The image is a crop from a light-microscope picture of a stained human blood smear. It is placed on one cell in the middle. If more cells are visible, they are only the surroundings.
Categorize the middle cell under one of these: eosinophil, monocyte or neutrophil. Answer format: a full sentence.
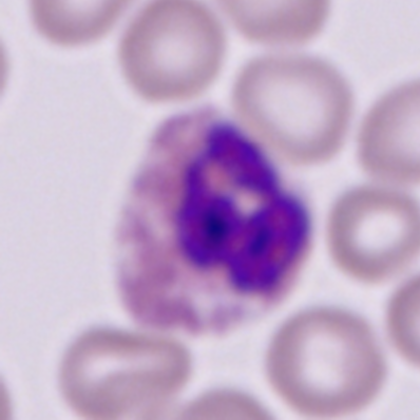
The centrally positioned cell in the crop represents an eosinophil.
